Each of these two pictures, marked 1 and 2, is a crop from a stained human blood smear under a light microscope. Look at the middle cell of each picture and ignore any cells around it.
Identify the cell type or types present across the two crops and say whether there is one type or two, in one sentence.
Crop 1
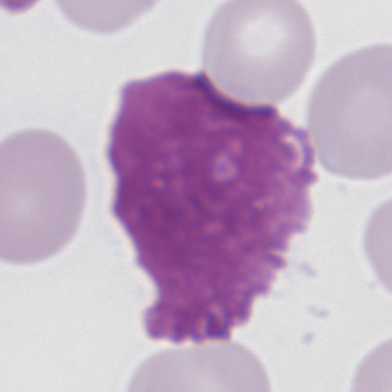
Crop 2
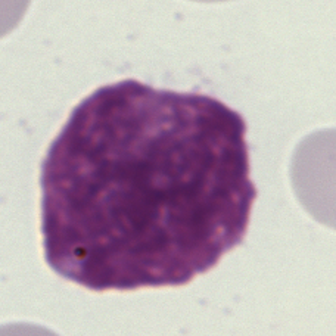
Yes, smudge cells are seen in both crops.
